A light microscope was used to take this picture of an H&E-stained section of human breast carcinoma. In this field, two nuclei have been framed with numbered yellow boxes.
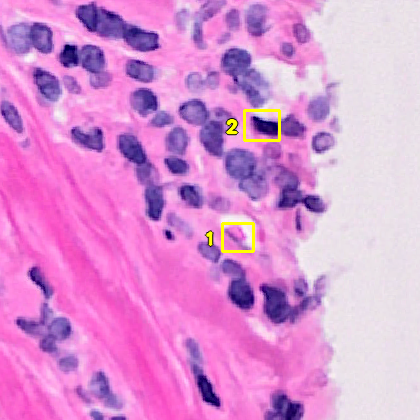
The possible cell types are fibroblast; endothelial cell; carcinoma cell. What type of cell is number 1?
endothelial cell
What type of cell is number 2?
carcinoma cell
